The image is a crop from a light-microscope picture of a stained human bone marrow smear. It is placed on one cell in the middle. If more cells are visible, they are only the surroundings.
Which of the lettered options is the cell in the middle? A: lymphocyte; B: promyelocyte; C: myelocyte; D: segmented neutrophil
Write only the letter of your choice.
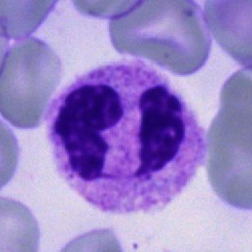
D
